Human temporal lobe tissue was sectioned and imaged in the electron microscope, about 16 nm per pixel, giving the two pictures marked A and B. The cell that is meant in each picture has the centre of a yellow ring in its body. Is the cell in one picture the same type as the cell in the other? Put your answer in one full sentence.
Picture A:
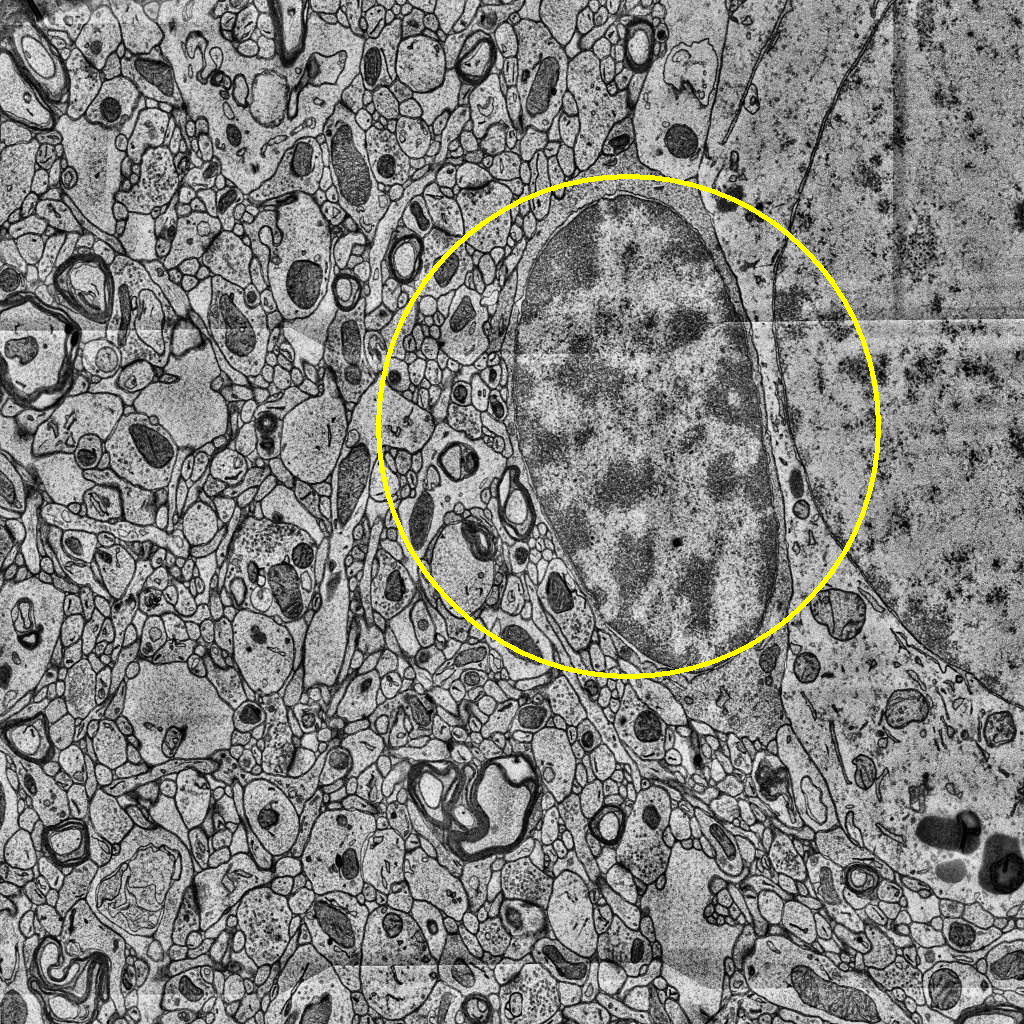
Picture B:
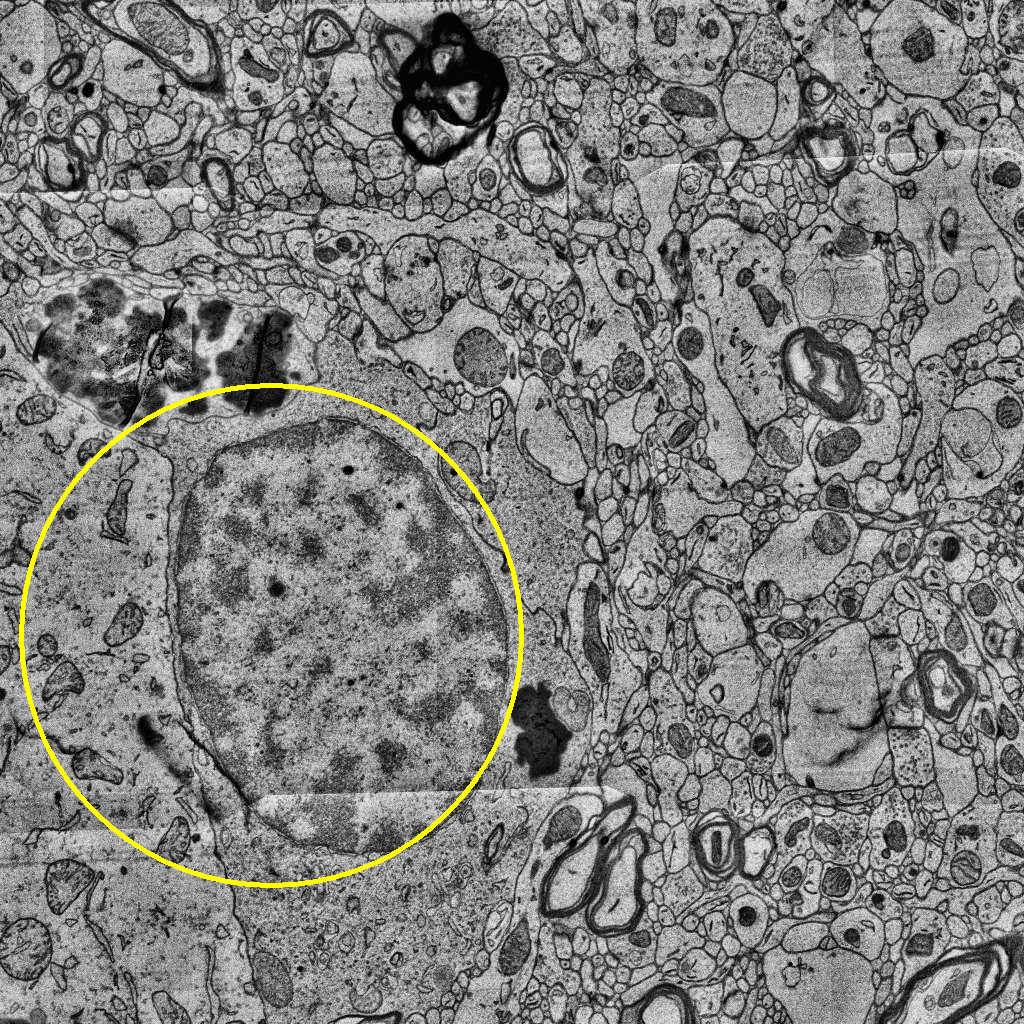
Yes; the cells in both pictures are oligodendrocytes.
